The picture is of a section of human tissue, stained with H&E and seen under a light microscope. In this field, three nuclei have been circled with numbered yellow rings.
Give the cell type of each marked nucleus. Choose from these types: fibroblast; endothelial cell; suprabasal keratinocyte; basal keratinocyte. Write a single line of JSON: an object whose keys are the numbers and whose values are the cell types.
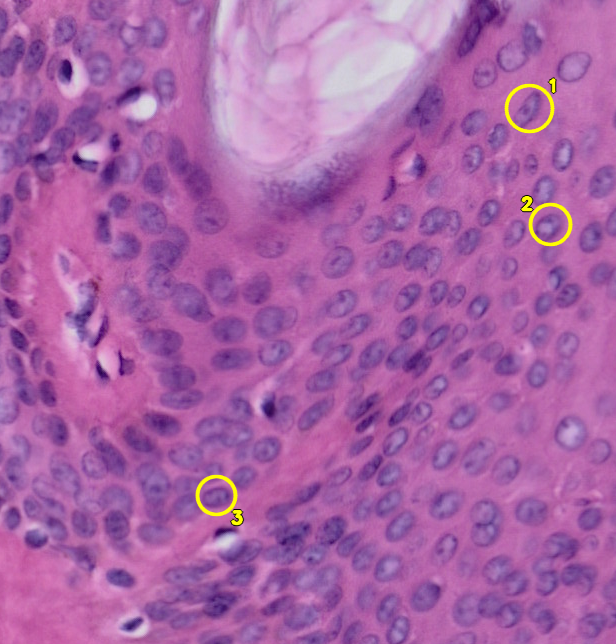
{"1": "suprabasal keratinocyte", "2": "suprabasal keratinocyte", "3": "basal keratinocyte"}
